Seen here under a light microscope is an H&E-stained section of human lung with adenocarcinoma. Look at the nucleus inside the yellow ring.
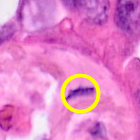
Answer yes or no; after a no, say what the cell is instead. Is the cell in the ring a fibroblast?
Yes.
